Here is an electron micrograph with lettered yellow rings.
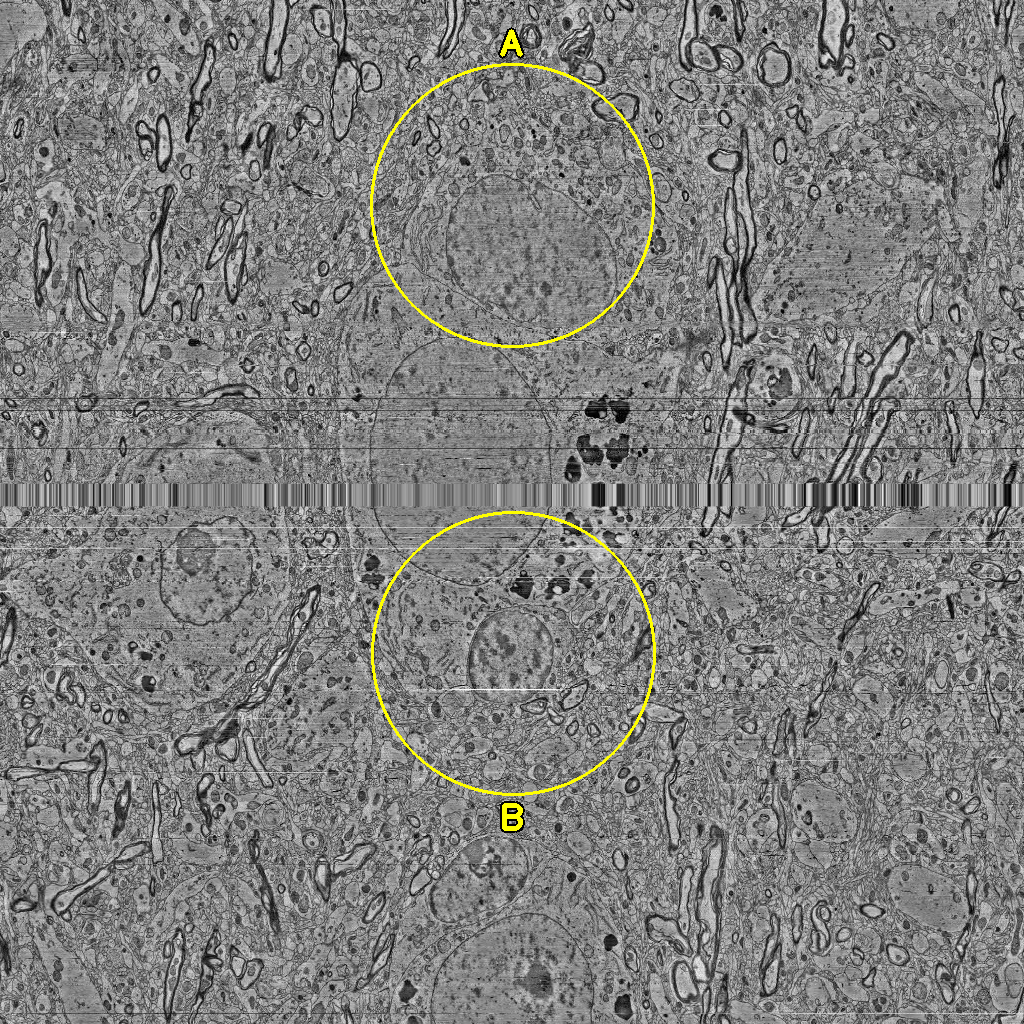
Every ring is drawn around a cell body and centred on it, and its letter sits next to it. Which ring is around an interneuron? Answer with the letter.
A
